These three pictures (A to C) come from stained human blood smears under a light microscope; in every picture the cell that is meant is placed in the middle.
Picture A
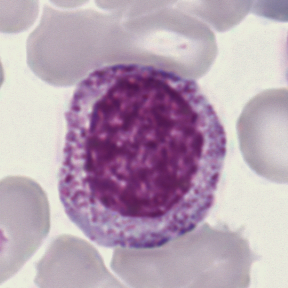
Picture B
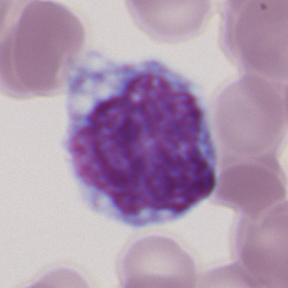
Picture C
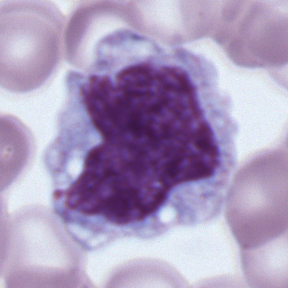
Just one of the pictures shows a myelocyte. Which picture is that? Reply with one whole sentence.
The cell in picture A is the myelocyte.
